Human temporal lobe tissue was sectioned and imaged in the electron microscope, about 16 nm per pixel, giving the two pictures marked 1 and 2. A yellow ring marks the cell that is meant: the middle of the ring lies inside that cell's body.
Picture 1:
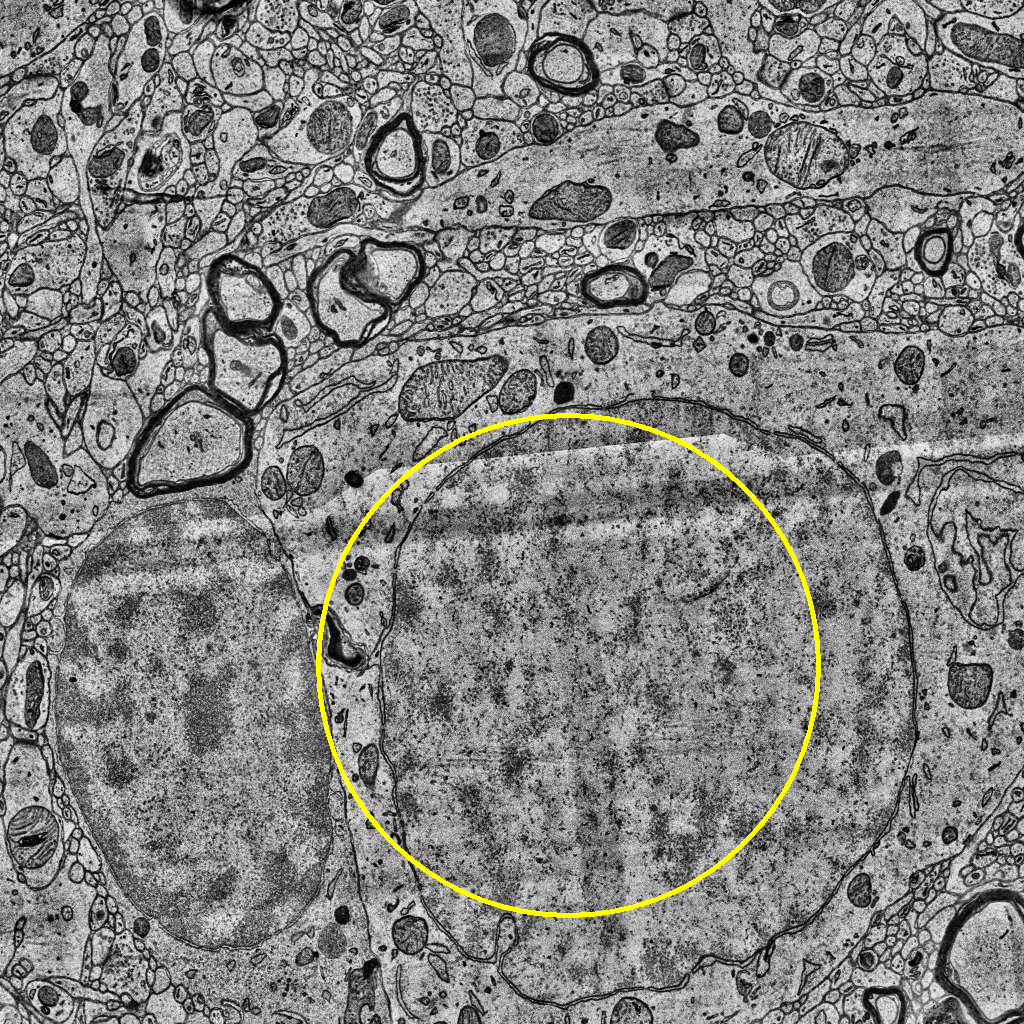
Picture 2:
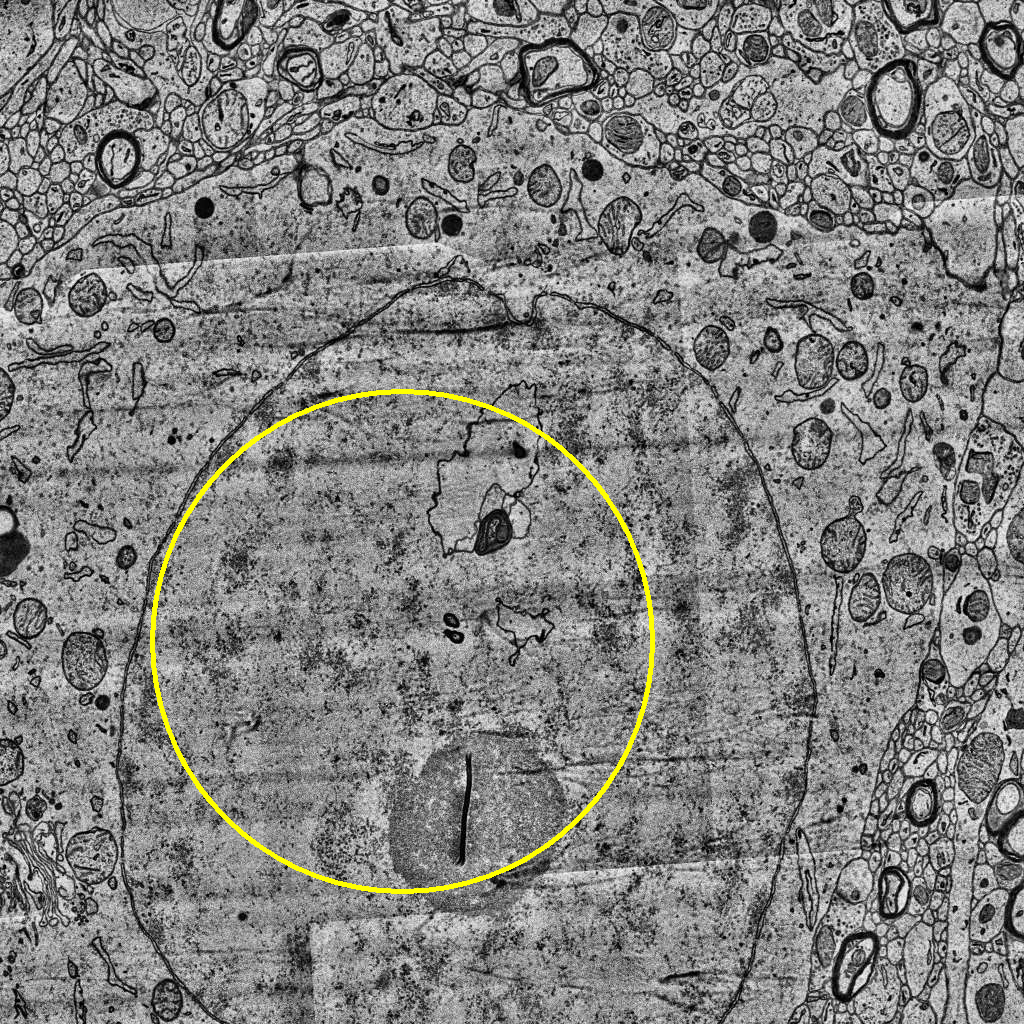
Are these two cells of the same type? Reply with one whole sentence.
Yes, they are the same type: both are pyramidal neurons.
